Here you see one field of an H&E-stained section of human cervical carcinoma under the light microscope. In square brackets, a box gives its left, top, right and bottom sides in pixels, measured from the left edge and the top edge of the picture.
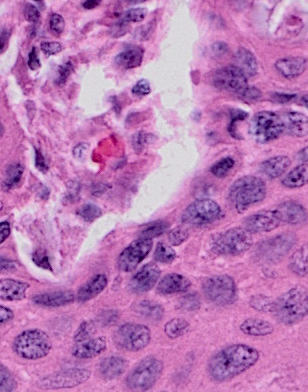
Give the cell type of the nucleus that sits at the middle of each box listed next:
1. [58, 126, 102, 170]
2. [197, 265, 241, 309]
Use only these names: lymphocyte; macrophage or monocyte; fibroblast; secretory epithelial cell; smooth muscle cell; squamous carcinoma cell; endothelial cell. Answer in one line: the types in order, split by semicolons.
endothelial cell; squamous carcinoma cell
